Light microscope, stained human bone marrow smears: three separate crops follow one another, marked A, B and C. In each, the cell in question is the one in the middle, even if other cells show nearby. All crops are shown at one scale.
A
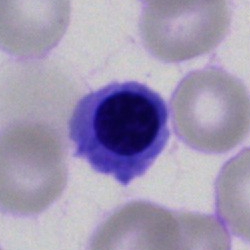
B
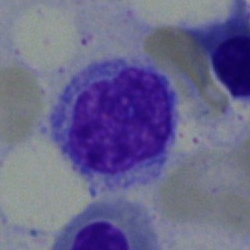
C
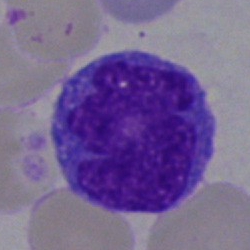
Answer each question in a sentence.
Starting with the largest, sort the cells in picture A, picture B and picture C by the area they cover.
From the largest down, the order is C, B, A.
